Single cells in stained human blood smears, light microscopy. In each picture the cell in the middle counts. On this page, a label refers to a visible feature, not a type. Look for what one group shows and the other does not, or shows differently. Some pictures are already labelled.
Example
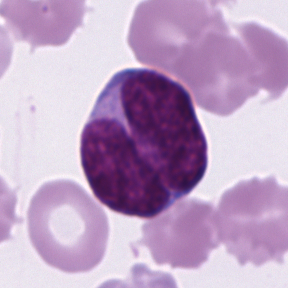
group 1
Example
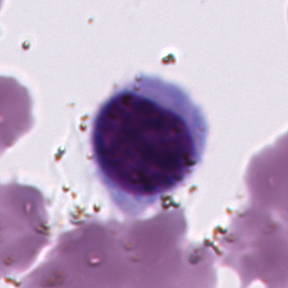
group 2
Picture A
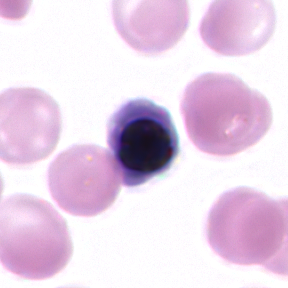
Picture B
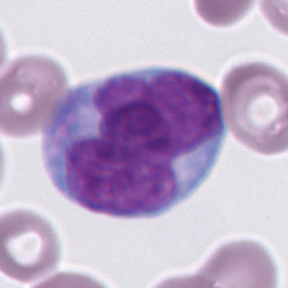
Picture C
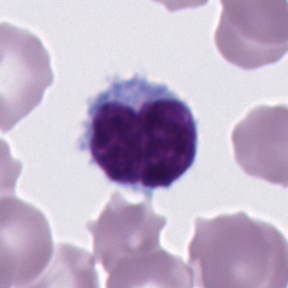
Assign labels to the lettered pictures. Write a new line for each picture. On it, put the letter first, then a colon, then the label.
A: group 2
B: group 1
C: group 1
